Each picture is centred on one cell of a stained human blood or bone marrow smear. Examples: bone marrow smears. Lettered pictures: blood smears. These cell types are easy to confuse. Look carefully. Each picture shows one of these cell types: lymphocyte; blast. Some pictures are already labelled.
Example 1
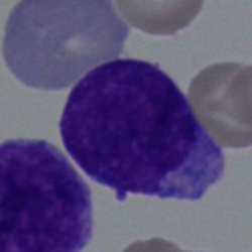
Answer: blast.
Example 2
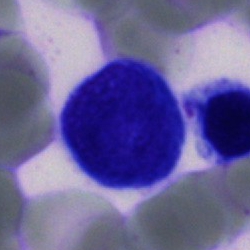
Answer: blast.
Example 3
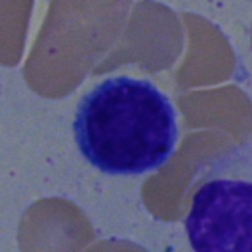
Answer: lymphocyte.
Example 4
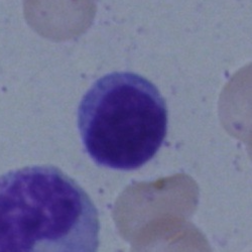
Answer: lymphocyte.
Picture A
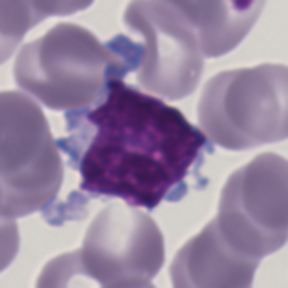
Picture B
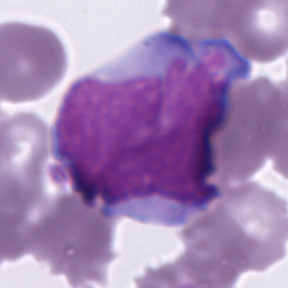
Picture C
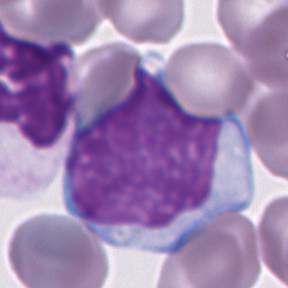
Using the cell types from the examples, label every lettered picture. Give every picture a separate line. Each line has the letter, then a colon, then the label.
A: lymphocyte.
B: blast.
C: blast.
